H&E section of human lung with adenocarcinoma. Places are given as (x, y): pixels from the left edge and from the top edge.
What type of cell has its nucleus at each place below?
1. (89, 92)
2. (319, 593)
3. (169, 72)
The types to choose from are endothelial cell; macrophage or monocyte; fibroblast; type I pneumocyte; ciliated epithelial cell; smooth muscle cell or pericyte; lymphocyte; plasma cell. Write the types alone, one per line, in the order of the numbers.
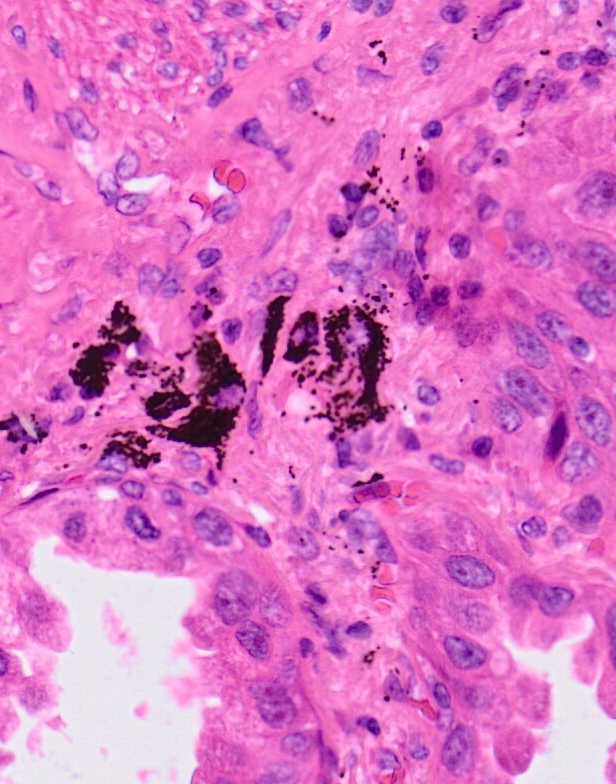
smooth muscle cell or pericyte
plasma cell
smooth muscle cell or pericyte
